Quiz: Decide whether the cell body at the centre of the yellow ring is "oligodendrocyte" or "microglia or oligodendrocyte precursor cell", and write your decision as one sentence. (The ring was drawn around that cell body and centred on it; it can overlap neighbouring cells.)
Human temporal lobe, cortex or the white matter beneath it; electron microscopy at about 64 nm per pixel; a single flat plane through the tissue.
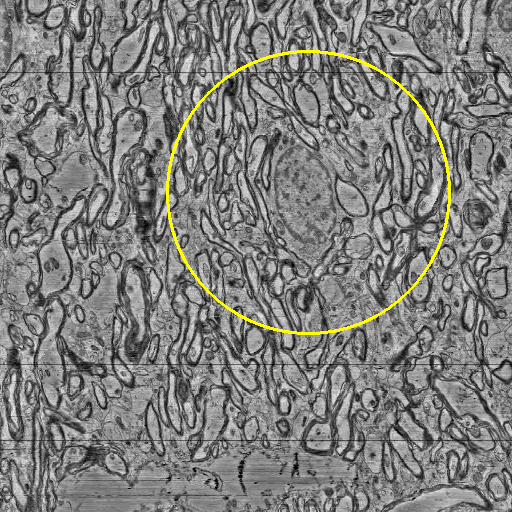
The cell the ring is centred on is an oligodendrocyte.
